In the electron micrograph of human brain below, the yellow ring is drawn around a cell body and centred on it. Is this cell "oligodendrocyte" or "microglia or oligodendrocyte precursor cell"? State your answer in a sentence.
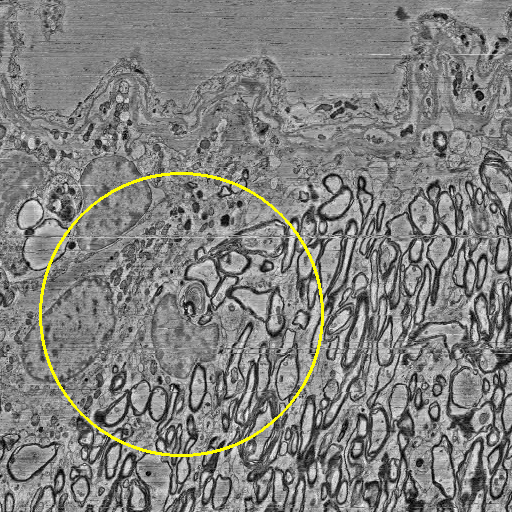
The cell in the middle of the ring is an oligodendrocyte.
